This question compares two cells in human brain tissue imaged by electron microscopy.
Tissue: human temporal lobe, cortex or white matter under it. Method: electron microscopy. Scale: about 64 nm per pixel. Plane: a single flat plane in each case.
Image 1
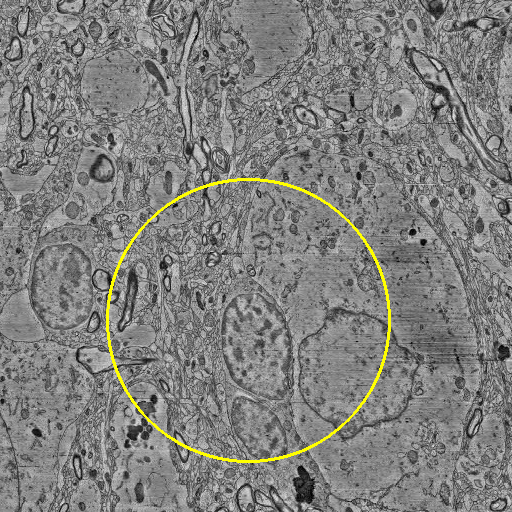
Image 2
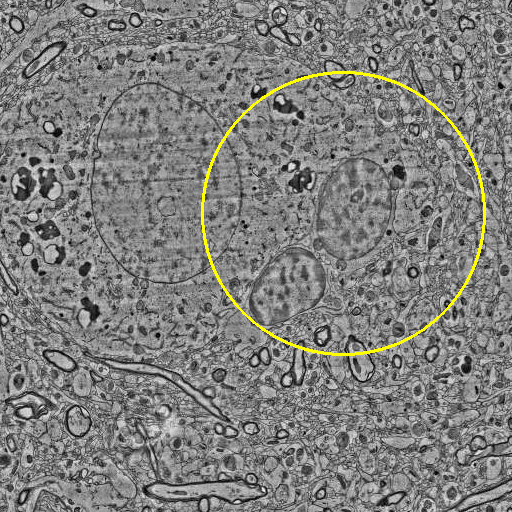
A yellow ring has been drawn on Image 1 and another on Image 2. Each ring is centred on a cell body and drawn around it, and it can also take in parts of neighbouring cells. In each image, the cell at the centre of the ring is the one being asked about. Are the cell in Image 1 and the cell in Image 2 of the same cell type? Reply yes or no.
yes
